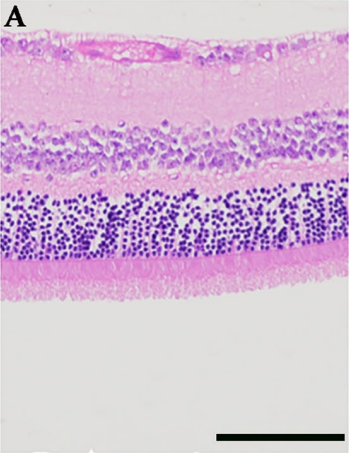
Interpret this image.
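This is a cross-section of retina stained pink and purple, showing its stacked layers from top to bottom. At the top is a single loose row of cells with rounded nuclei along the inner surface, lying next to a small blood vessel, and beneath it a wide, finely textured pink band almost free of nuclei. Below that comes a band of moderately packed, paler purple nuclei, then a thin pink band, then a thick band of tightly crowded small round dark purple nuclei. At the bottom a pale pink, faintly striated band without nuclei forms the outer edge. The top row fits the retinal ganglion cells, the wide pink band the inner plexiform layer, the middle nuclear band the inner nuclear layer, the thin pink band the outer plexiform layer, the dense dark band the outer nuclear layer and the bottom band the photoreceptor layer.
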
